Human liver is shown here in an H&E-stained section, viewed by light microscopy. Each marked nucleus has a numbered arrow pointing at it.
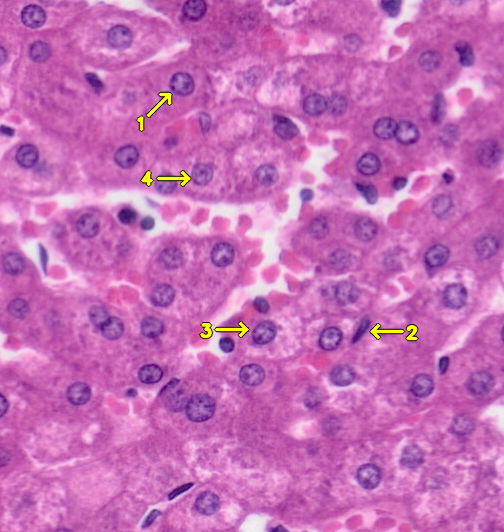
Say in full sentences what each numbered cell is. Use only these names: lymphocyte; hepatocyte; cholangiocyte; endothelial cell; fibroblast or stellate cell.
Cell 1 is a hepatocyte, cell 2 is a fibroblast or stellate cell, cell 3 is a hepatocyte and cell 4 is a hepatocyte.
